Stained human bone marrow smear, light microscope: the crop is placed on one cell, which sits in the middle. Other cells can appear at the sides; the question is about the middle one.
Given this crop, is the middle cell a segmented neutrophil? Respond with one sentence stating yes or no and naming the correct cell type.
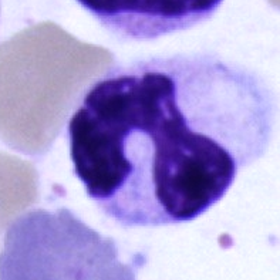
No, the central cell here is a band neutrophil; calling it a segmented neutrophil is not right.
